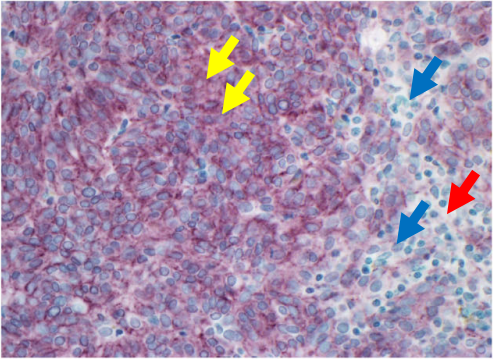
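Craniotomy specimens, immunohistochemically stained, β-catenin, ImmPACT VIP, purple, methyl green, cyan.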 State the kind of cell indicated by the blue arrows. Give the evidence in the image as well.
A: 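The marked cells are small, round, with dense cyan nuclei. They are gathered at the edge of a sheet of larger purple cells. Little or no purple stain surrounds them.
Conclusion: Tumor-infiltrating lymphocytes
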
